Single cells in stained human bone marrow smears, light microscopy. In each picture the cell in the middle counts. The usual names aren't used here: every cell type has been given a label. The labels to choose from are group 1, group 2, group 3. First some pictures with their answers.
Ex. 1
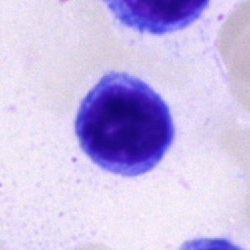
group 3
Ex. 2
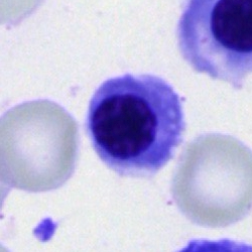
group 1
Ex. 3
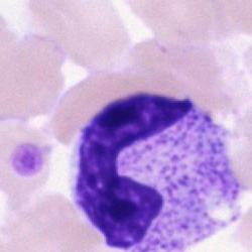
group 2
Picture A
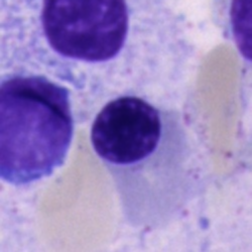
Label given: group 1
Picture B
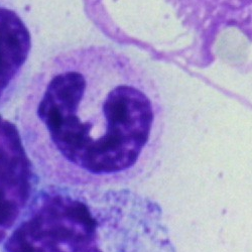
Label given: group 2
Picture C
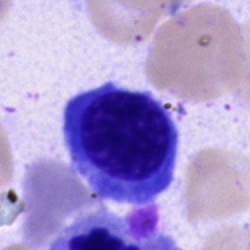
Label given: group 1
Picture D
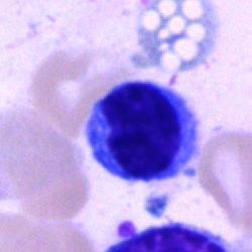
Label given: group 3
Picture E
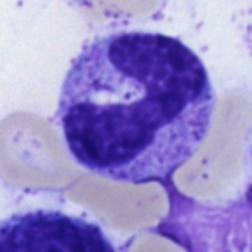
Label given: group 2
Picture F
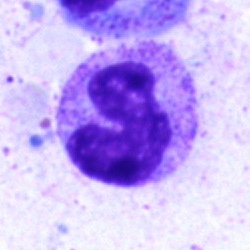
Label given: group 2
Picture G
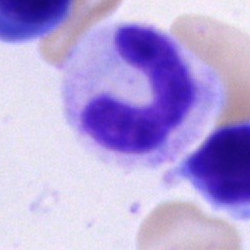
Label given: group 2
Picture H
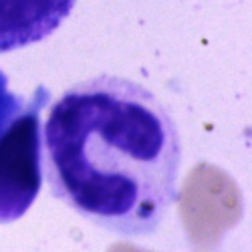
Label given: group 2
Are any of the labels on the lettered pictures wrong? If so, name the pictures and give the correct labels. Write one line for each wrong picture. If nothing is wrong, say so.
Nothing to fix; every label fits.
